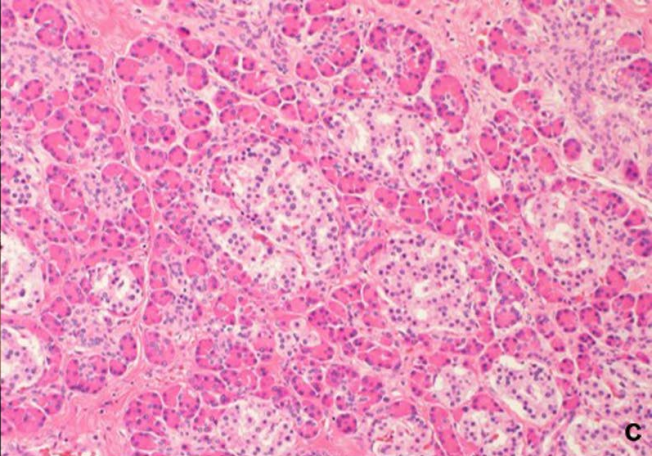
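This is glandular tissue of the pancreas, with both exocrine and endocrine parts. Most of the field is filled by small acini whose cells have strongly pink, granular cytoplasm and round dark nuclei pushed toward the base. Scattered among them are paler clusters and tubules of cells with clear to faintly stained cytoplasm and small round nuclei. Delicate pink fibrous strands run between the glandular units.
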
